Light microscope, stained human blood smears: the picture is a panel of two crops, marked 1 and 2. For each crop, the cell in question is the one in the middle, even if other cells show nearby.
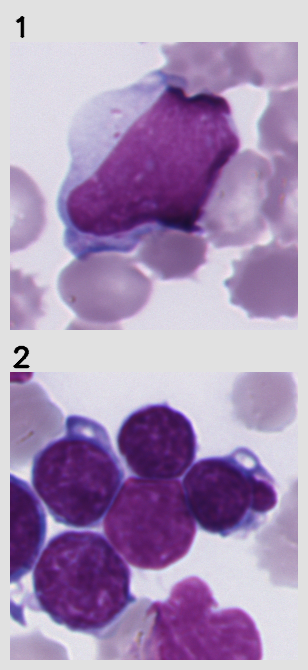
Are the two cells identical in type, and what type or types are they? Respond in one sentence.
Yes, in the middle of both crops lie myeloblasts.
